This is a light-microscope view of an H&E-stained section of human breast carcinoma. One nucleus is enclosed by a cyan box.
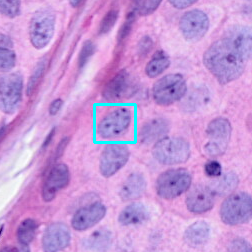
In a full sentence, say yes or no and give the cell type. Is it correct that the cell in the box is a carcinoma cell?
Yes, classifying the cell in the box as a carcinoma cell is accurate.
